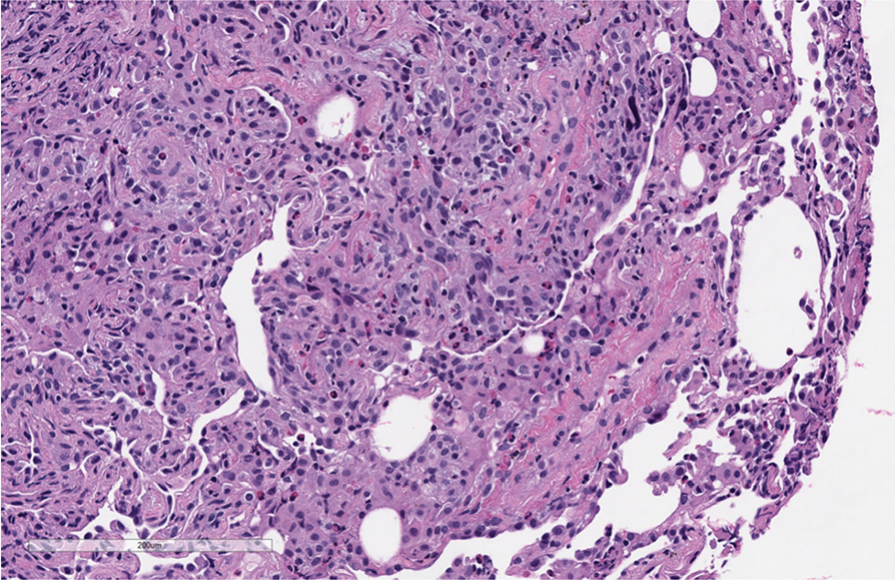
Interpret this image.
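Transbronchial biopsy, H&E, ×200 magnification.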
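This is lung parenchyma whose interstitium is thickened by pink collagen and a dense, mixed cellular infiltrate. Scattered among the cells are eosinophils with bright red-orange granular cytoplasm. Open air spaces lined by flattened cells remain toward the right edge.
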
